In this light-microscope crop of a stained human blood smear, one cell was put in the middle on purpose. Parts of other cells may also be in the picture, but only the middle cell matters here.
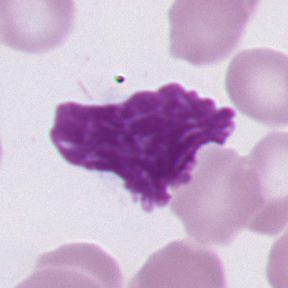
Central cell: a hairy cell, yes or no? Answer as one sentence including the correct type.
No, the cell placed in the centre is a smudge cell and is not a hairy cell.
